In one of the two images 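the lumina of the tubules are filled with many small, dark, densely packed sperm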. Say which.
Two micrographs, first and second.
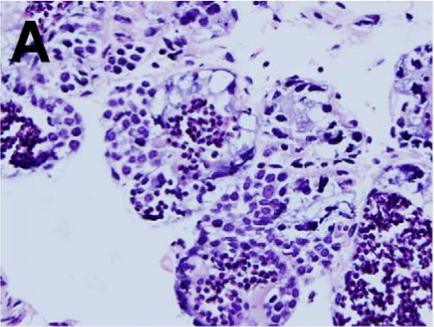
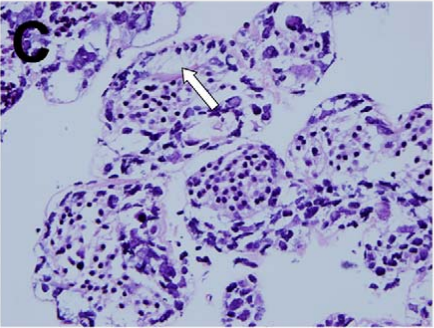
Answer: the first image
